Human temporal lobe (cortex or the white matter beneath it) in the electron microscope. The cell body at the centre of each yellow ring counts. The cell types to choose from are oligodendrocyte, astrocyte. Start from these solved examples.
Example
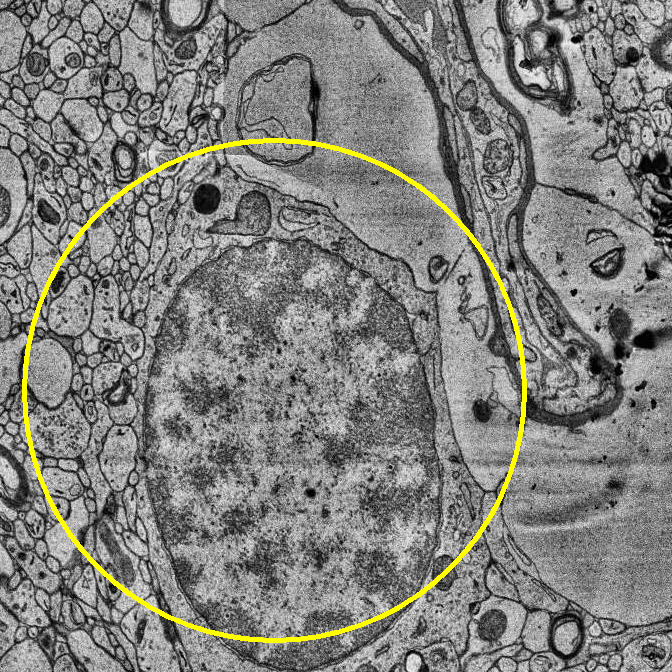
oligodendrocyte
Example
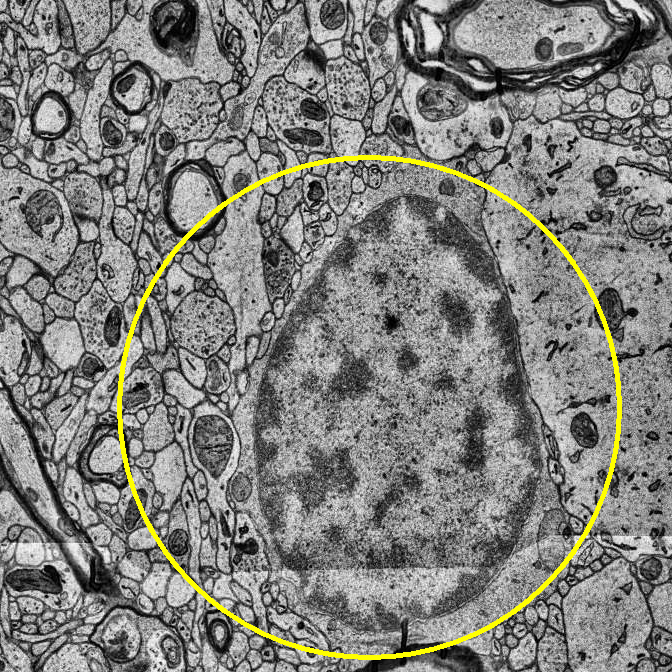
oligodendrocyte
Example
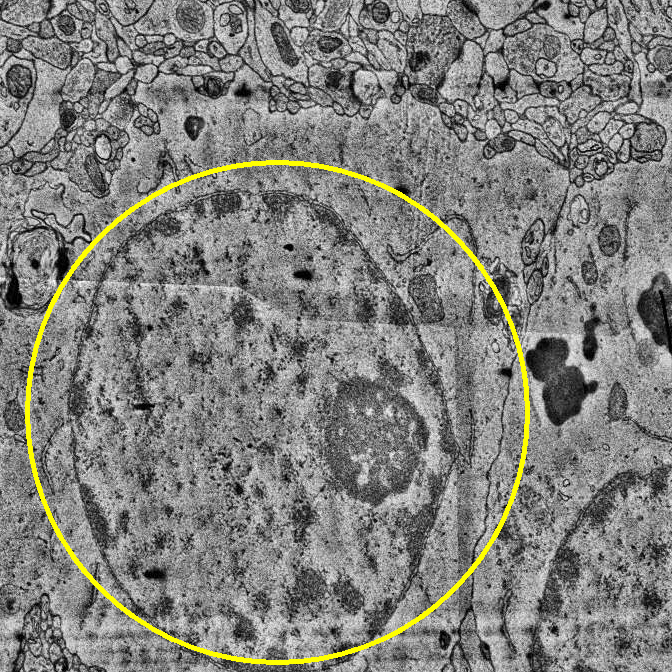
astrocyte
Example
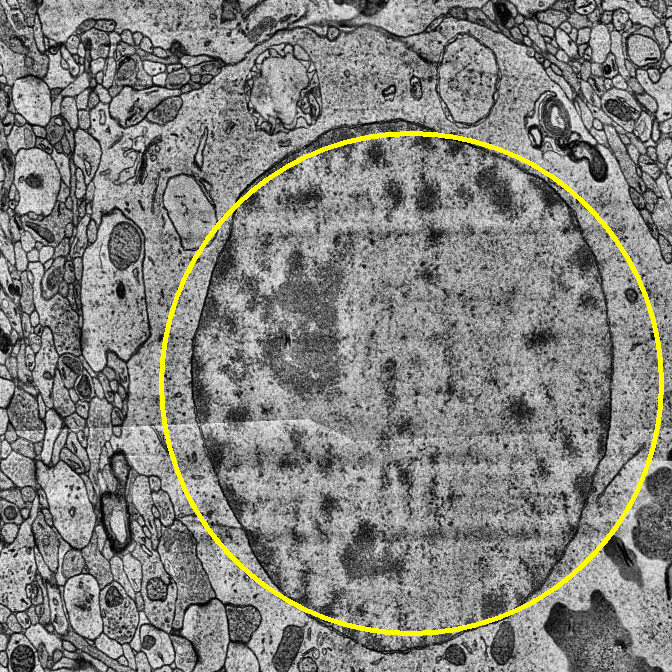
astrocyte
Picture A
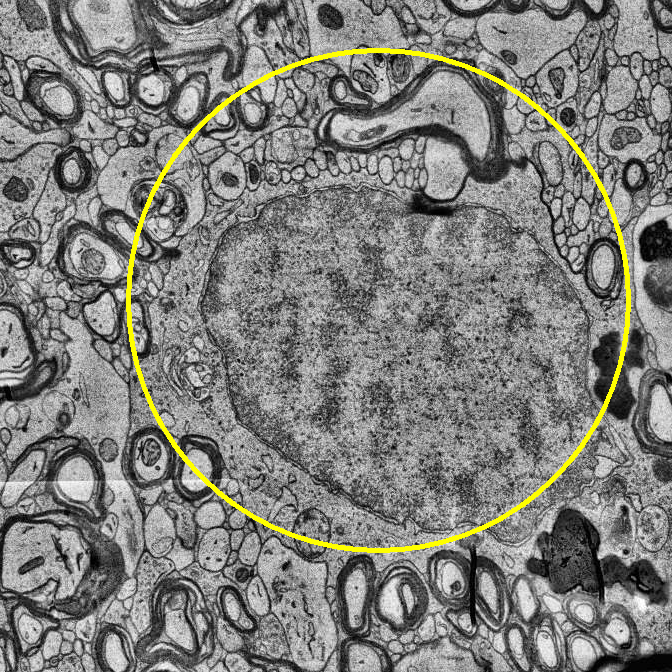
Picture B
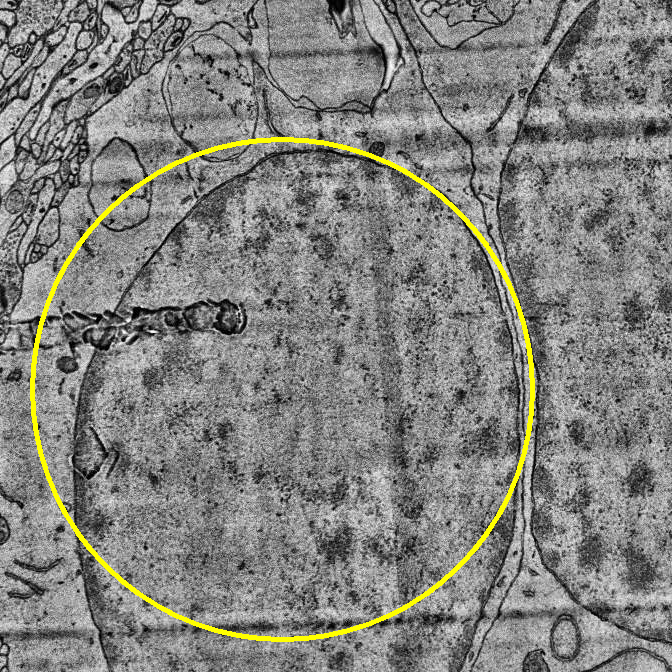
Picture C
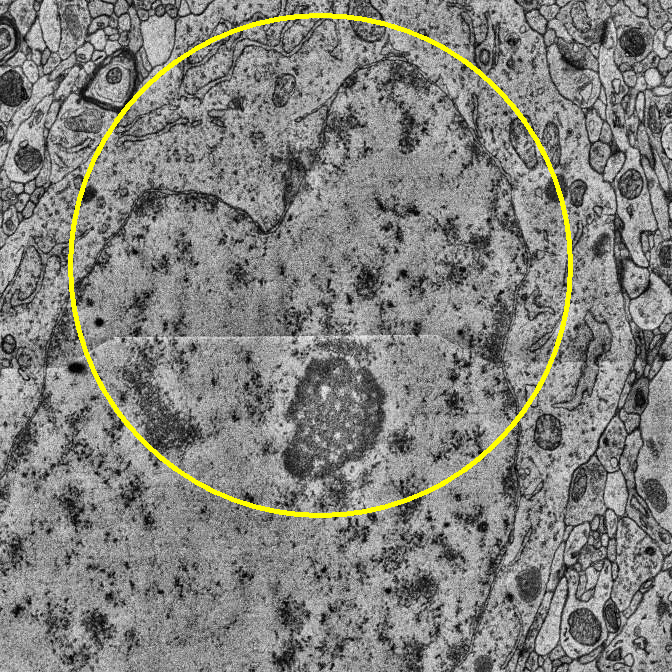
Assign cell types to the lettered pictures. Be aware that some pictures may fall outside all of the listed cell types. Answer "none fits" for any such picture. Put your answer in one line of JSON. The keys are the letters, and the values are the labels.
{"A": "oligodendrocyte", "B": "astrocyte", "C": "none fits"}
